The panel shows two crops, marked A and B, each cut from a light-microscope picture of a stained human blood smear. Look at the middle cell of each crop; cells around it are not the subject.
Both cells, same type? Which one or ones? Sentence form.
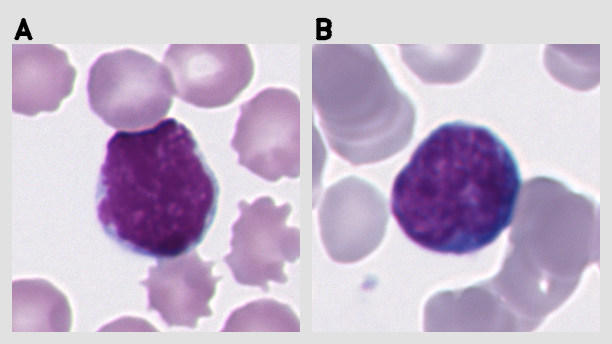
Yes, in the case of both crops, the central cells are typical lymphocytes.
